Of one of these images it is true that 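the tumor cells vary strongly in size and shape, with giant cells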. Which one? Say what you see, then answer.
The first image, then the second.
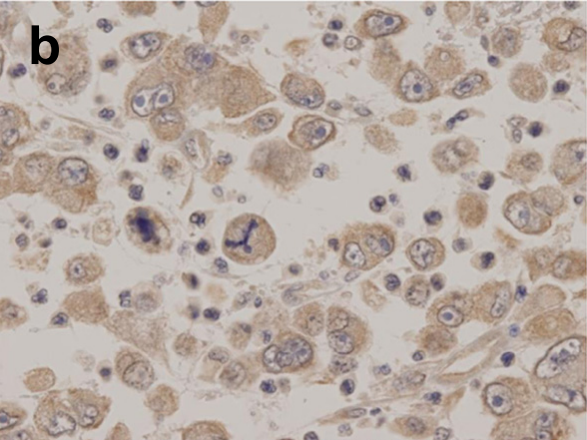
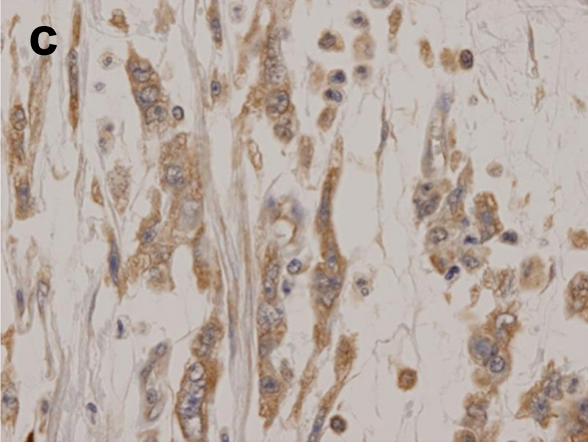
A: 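The first image. First image: tumor cells range from medium to very large, some with several nuclei.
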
